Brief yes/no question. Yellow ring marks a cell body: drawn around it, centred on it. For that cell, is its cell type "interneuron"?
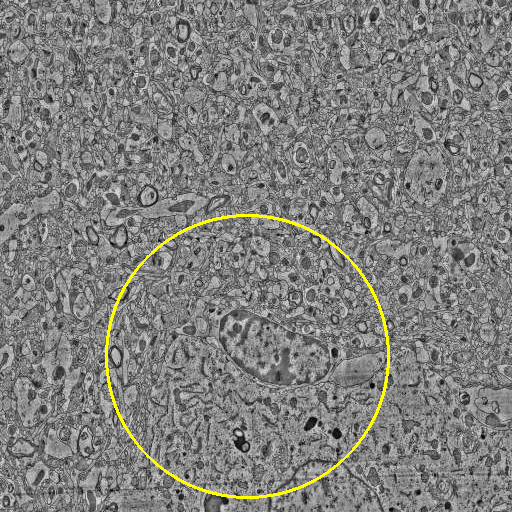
No, the cell type is another.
